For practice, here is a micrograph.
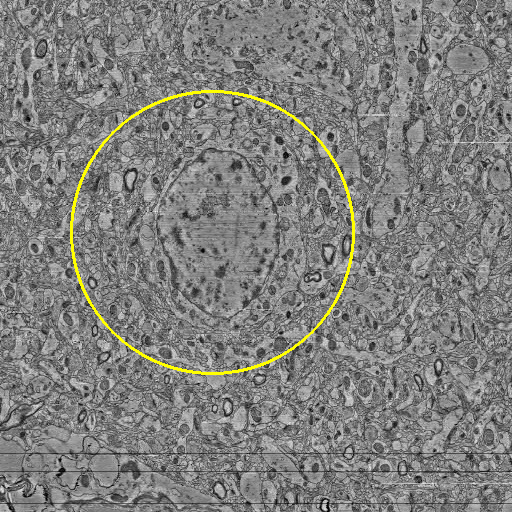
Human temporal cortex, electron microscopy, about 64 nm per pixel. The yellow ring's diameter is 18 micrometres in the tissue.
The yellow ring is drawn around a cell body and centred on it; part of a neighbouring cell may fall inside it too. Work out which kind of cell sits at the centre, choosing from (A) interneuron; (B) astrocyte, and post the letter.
A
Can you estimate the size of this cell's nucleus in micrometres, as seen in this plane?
In this plane, the nucleus of the cell at the centre of the ring measures about 11 by 8 micrometres.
